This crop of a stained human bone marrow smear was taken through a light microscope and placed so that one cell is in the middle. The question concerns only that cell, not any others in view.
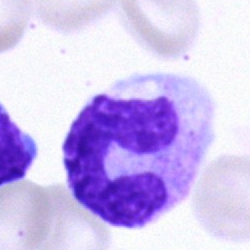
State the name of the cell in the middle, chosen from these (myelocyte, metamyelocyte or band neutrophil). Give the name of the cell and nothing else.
band neutrophil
